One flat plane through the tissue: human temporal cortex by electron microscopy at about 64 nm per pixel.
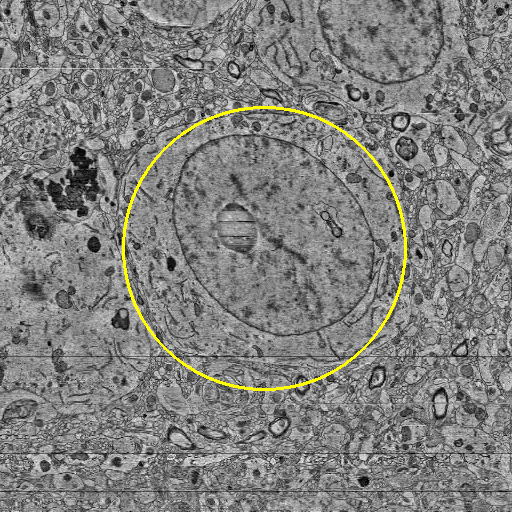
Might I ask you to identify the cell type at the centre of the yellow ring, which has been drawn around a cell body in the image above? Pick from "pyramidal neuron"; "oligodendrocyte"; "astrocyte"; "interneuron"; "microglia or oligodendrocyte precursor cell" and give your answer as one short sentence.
The centre of the ring falls on a pyramidal neuron.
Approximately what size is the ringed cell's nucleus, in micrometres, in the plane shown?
Roughly 14 by 11 micrometres in this plane, for the nucleus of the ringed cell.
